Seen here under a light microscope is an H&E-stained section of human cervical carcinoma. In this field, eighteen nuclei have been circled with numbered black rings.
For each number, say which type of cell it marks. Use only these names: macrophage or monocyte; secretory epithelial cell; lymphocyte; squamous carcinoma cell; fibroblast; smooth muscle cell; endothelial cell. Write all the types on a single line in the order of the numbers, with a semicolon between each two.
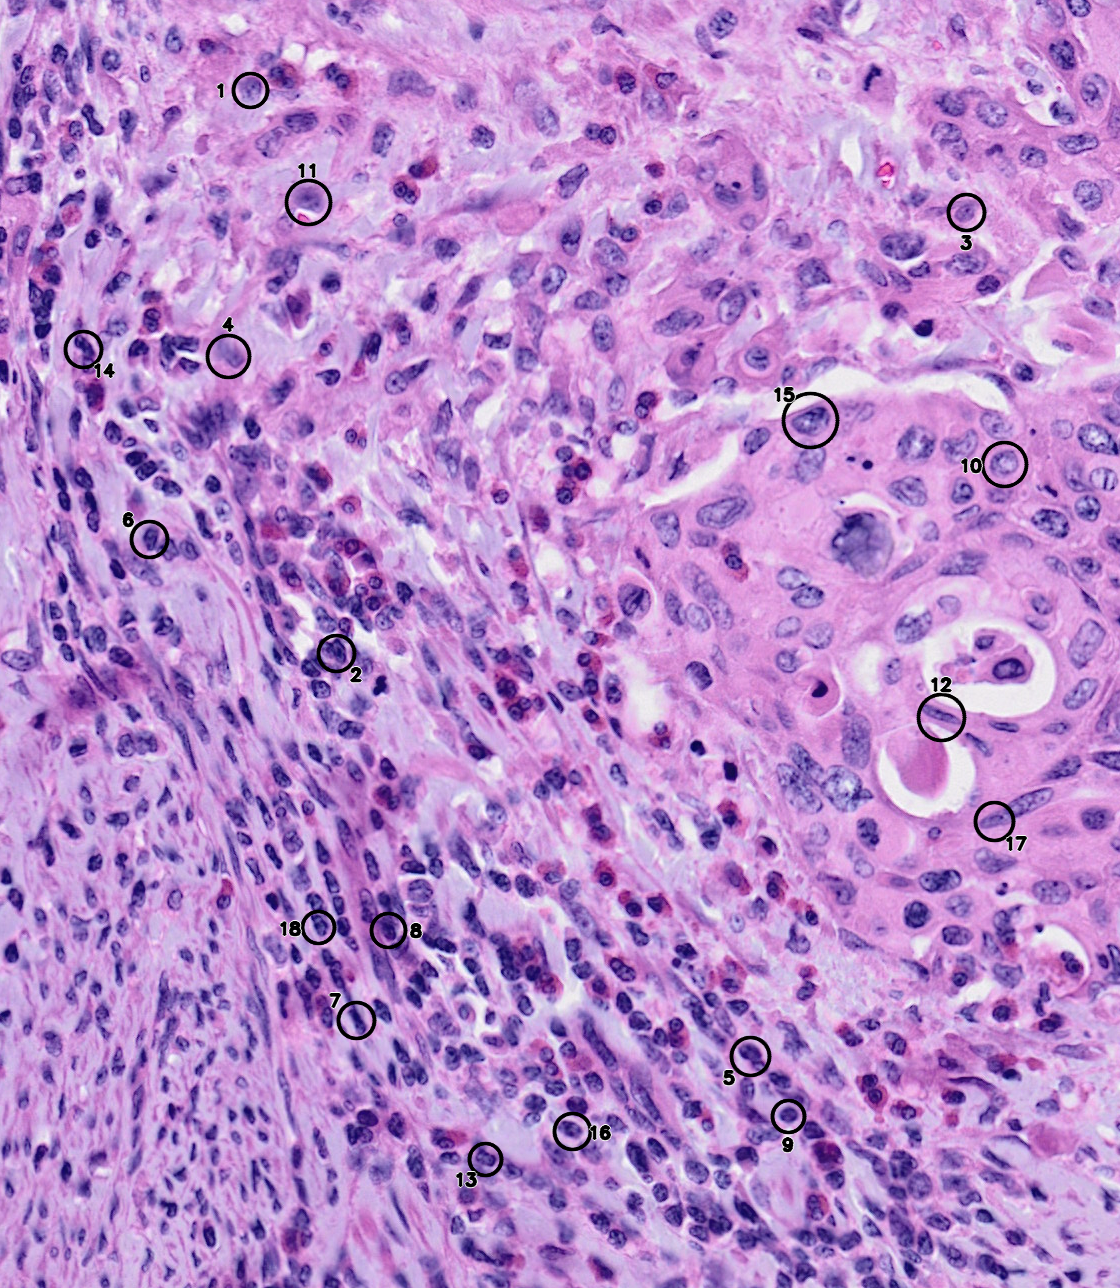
macrophage or monocyte; lymphocyte; macrophage or monocyte; endothelial cell; lymphocyte; lymphocyte; lymphocyte; lymphocyte; lymphocyte; squamous carcinoma cell; endothelial cell; squamous carcinoma cell; lymphocyte; lymphocyte; squamous carcinoma cell; lymphocyte; squamous carcinoma cell; lymphocyte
